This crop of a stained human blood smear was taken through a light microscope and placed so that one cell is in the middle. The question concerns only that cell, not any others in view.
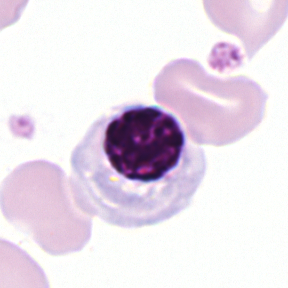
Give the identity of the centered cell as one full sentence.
Centrally within this crop lies a normoblast.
